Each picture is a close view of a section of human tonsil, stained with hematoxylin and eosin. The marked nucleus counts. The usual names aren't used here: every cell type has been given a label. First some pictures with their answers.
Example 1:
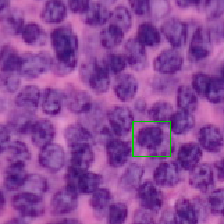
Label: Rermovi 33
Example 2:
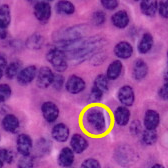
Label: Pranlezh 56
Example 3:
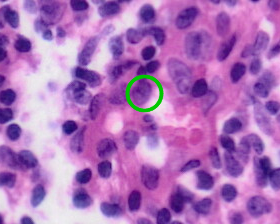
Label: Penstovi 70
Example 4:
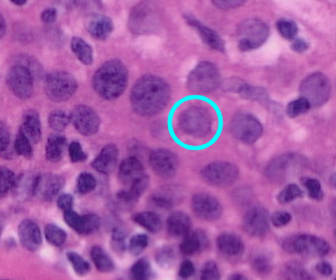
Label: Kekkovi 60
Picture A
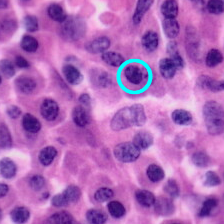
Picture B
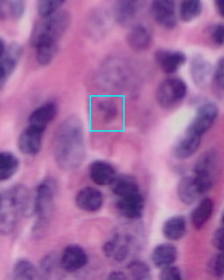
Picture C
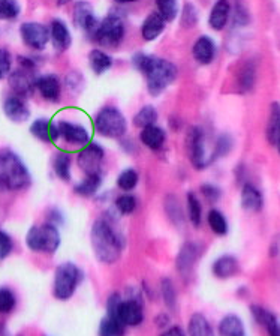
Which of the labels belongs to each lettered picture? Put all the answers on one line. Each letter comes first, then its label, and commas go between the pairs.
A Pranlezh 56, B Penstovi 70, C Rermovi 33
